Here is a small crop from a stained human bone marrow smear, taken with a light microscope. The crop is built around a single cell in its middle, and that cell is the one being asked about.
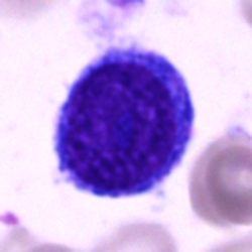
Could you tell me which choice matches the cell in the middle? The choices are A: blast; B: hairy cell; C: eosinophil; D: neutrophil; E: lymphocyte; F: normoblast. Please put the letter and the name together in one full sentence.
Option A is right in identifying the central cell as a blast.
